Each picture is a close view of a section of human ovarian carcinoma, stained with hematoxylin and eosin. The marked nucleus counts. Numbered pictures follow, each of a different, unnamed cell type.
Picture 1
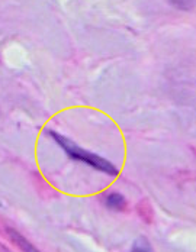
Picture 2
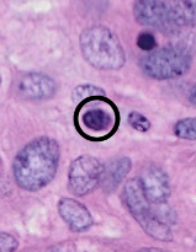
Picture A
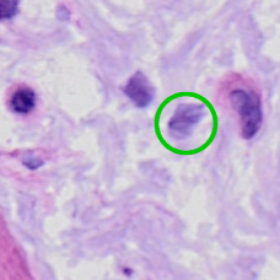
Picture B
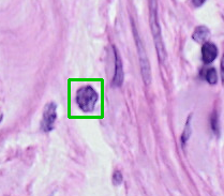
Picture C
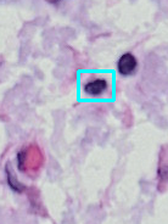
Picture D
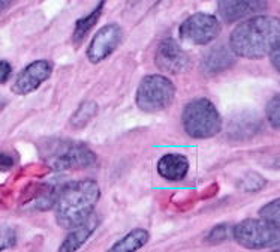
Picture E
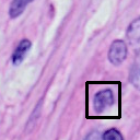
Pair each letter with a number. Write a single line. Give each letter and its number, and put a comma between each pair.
A 1, B 2, C 2, D 2, E 2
